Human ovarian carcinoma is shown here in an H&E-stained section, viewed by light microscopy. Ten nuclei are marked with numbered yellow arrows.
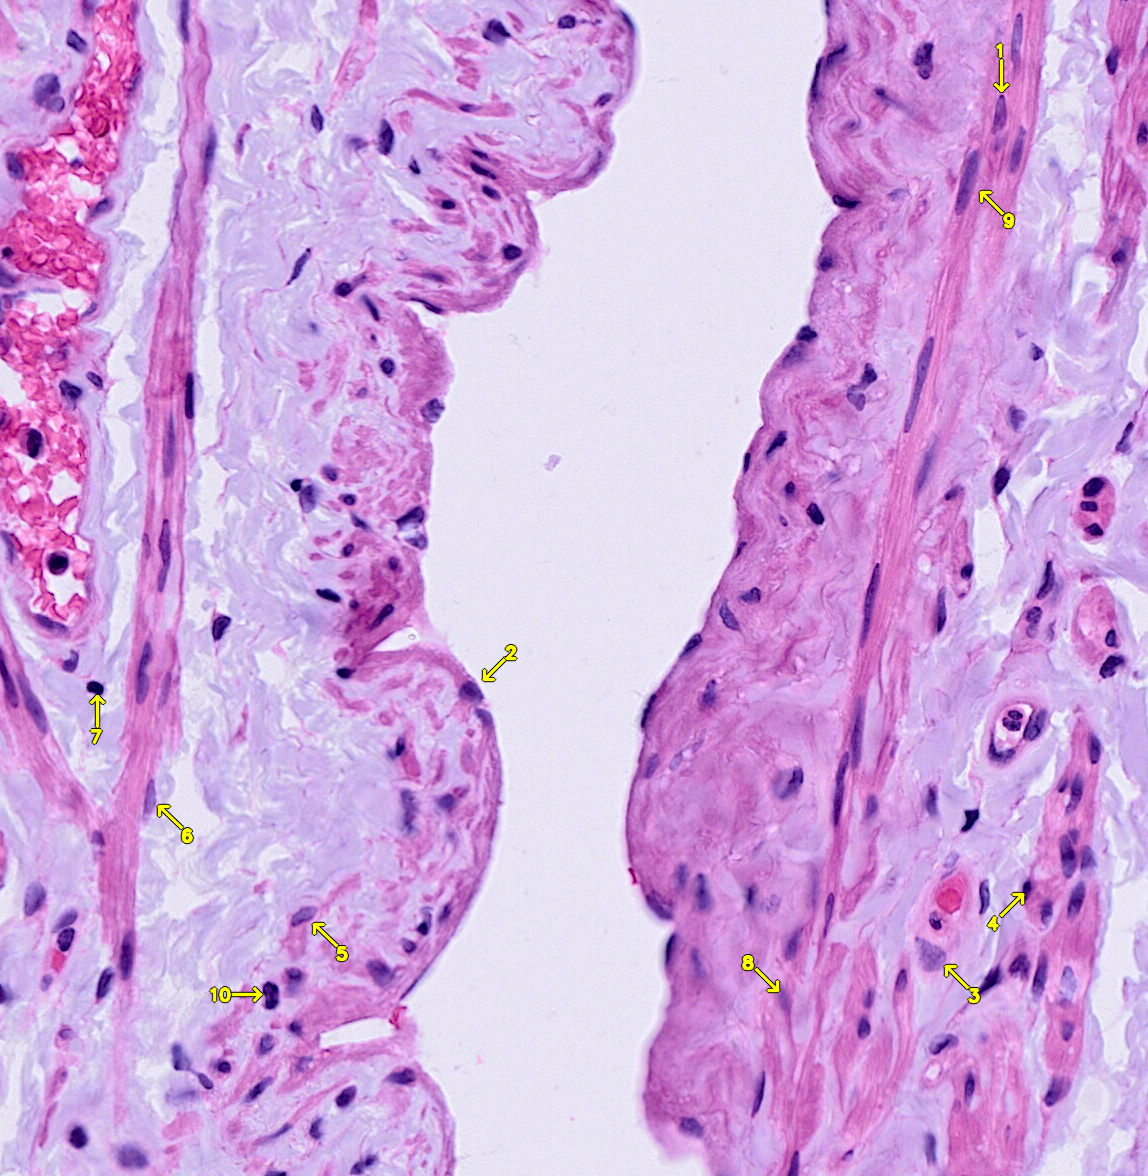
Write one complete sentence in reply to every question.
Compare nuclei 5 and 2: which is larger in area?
The larger nucleus is 2, at roughly 1.5 times the area of 5.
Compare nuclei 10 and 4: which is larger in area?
It is nucleus 10, which covers about 2.5 times the area of nucleus 4.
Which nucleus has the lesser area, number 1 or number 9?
Number 1 is smaller, since number 9 takes up about 2 times as much area.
